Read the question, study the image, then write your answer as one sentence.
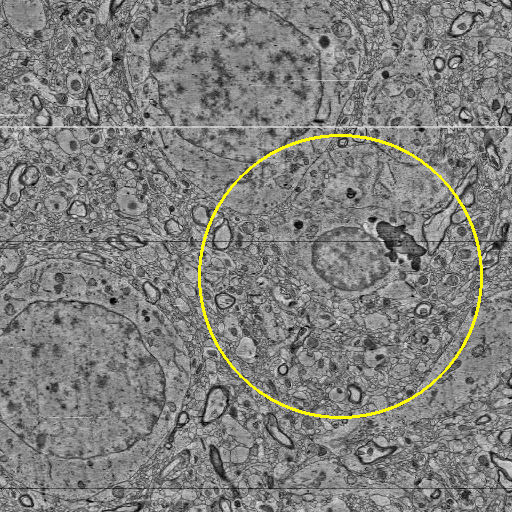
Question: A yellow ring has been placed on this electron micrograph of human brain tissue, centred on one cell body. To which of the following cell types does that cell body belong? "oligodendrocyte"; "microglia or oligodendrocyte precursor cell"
That cell body belongs to an oligodendrocyte.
